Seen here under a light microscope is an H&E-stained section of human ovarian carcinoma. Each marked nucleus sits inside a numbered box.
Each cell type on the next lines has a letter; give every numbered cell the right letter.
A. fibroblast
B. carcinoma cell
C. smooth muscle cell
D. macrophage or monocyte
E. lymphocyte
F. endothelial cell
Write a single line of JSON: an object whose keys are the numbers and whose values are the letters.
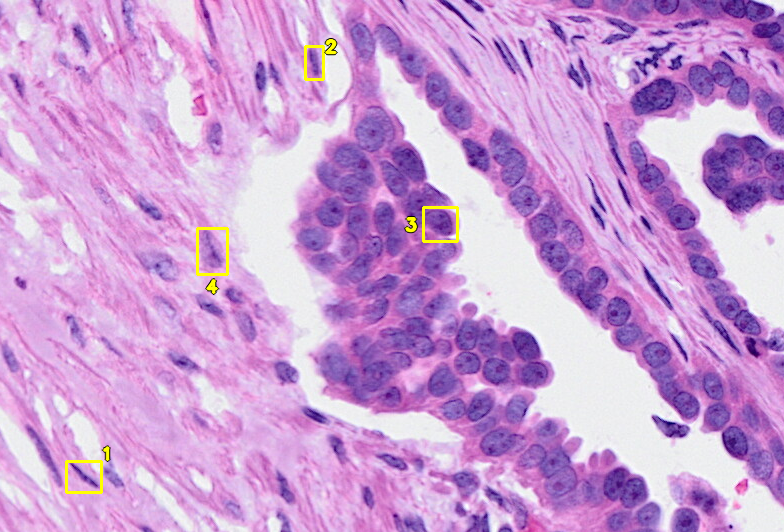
{"1": "A", "2": "A", "3": "B", "4": "A"}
